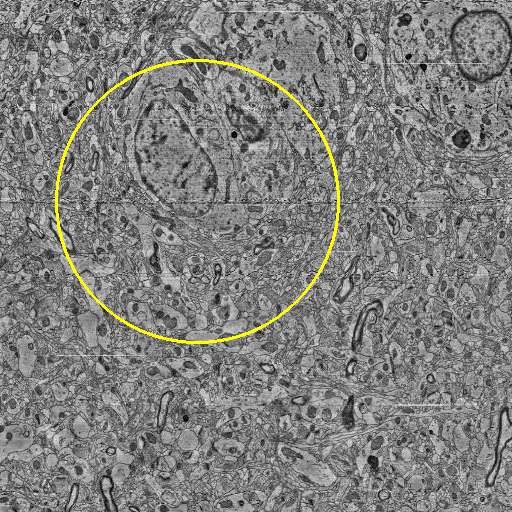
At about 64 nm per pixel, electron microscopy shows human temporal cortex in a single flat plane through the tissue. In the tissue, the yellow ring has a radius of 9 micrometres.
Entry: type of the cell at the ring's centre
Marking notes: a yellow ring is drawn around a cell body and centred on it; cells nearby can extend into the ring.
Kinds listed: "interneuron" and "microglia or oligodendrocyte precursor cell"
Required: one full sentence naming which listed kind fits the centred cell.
My entry names a microglial cell or oligodendrocyte precursor cell as the cell whose body the yellow ring centres on.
